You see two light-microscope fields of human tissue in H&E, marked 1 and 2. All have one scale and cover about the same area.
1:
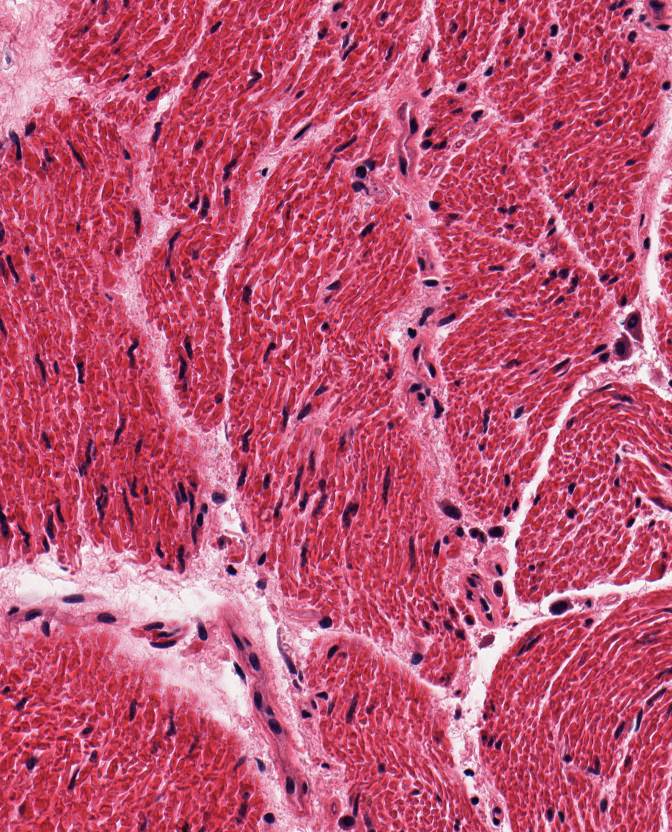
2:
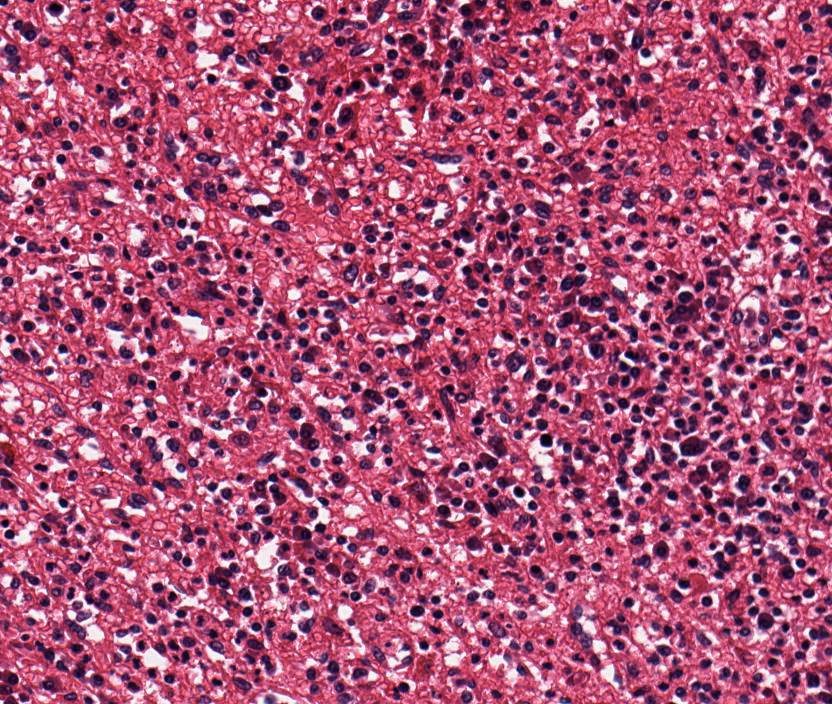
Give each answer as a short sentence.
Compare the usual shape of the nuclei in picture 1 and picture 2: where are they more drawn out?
The nuclei are more elongated in picture 1.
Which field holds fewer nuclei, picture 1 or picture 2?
It is picture 1 that has fewer nuclei in it.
